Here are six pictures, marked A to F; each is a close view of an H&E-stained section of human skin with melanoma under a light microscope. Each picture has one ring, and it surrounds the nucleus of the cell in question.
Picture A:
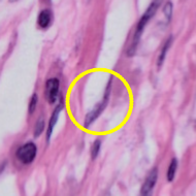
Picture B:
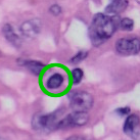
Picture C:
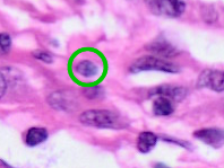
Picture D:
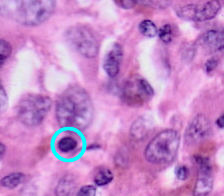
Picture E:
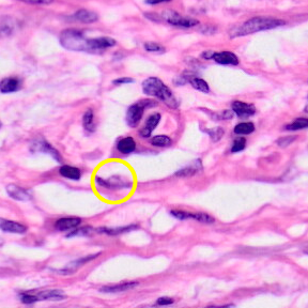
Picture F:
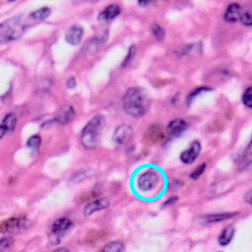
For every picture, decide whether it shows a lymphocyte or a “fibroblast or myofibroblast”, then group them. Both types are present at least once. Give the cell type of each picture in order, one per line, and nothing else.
fibroblast or myofibroblast
lymphocyte
lymphocyte
lymphocyte
fibroblast or myofibroblast
lymphocyte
